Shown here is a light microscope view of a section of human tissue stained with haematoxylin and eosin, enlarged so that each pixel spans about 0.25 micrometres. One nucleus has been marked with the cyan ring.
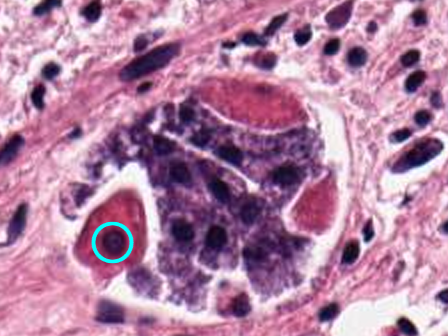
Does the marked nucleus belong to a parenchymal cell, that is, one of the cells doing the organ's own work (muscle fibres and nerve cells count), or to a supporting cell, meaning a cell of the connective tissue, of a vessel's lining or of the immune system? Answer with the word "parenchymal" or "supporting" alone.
parenchymal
